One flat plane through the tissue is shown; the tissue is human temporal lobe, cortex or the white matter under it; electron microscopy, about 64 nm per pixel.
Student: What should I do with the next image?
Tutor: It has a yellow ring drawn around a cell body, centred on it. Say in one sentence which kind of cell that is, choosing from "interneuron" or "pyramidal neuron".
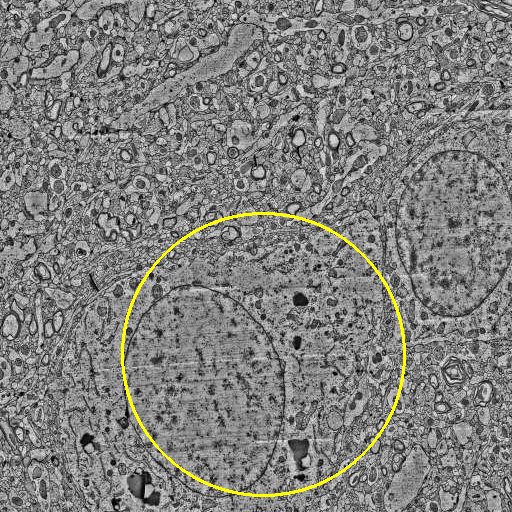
The ring's centre is occupied by a pyramidal neuron.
